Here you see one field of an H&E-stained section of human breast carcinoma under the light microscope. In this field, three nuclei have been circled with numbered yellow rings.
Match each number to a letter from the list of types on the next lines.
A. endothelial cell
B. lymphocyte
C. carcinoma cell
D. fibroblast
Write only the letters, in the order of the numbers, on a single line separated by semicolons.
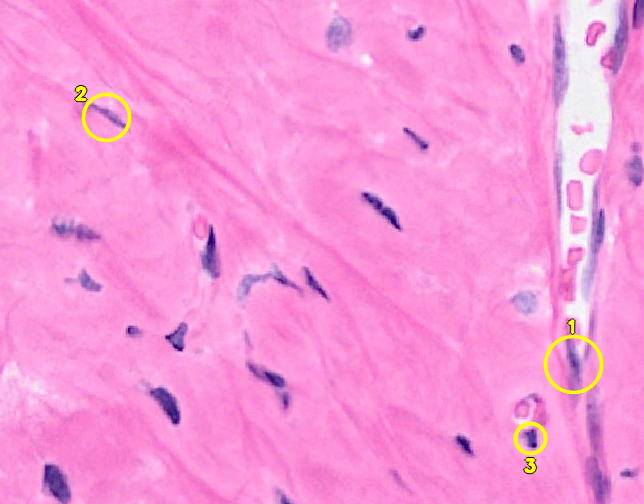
A; D; A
